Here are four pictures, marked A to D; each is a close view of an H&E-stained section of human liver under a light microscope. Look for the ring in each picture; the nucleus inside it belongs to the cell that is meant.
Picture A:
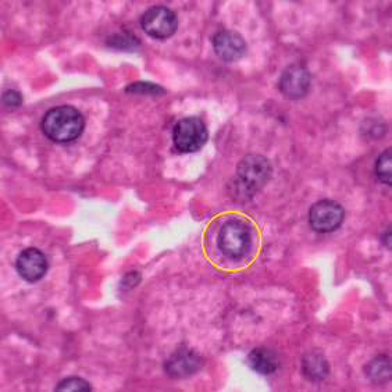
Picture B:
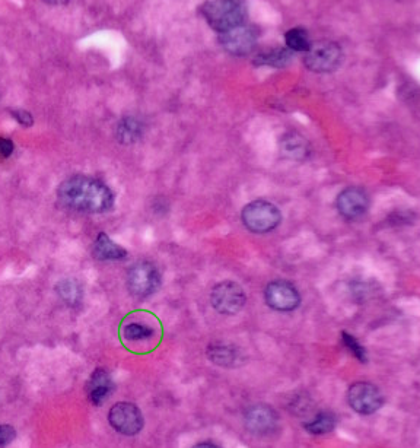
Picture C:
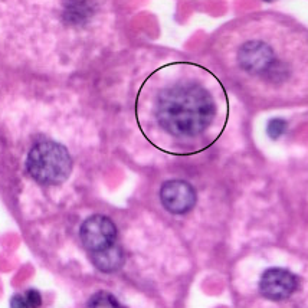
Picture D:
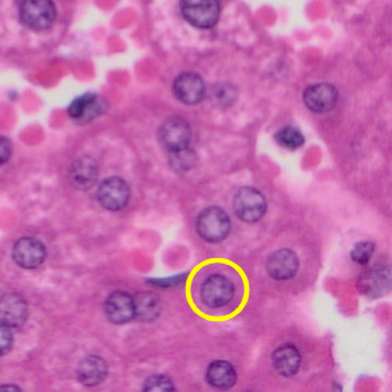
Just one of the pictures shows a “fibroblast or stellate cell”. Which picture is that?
B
